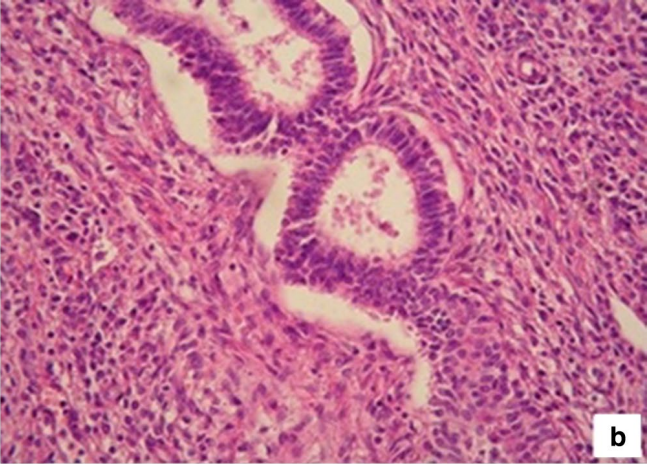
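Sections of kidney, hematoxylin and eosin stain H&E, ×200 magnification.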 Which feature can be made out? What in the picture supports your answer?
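Glands lined by tall columnar epithelium with crowded, elongated, stratified-looking dark nuclei. Glands sit in a dense, cellular stroma of small oval to spindle cells.
Conclusion: endometrial glands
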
